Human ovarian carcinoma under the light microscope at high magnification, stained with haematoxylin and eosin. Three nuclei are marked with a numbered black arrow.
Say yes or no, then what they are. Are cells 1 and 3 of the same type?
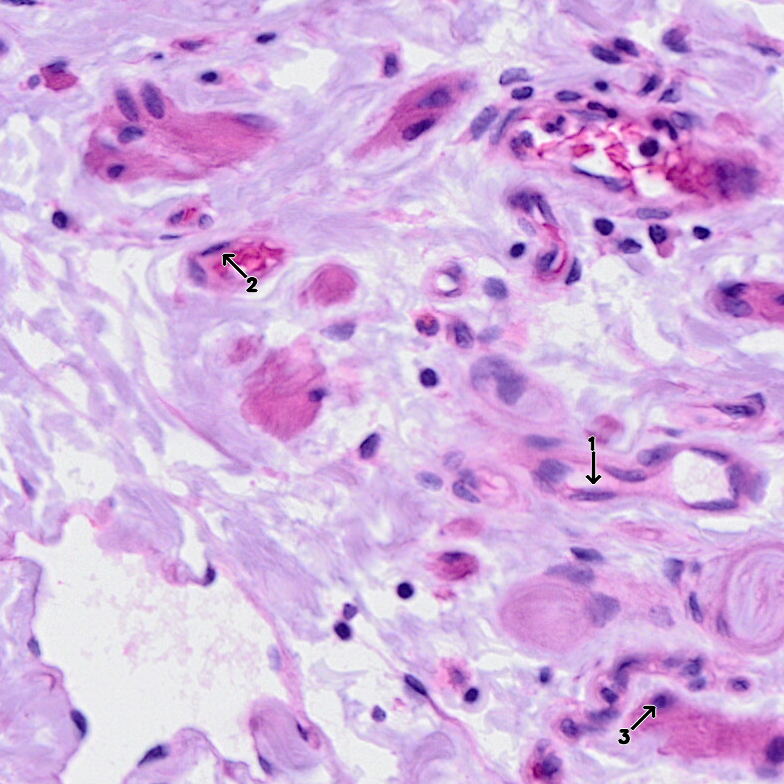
No, sorry, cell 1 is an endothelial cell and cell 3 is a smooth muscle cell.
